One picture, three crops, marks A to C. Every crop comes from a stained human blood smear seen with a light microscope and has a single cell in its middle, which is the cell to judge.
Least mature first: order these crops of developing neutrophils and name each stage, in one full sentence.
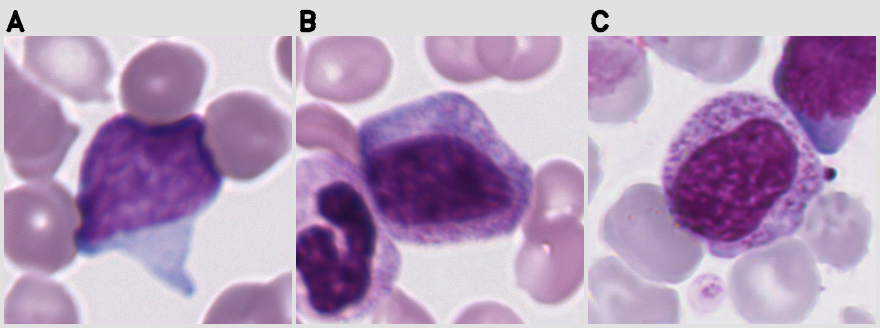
The stages, ordered from least to most mature, are crop A (a myeloblast), crop B (a myelocyte) and crop C (a metamyelocyte).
